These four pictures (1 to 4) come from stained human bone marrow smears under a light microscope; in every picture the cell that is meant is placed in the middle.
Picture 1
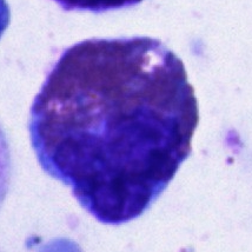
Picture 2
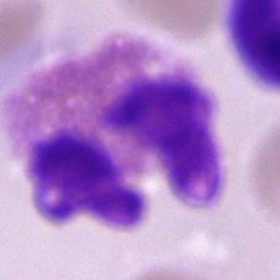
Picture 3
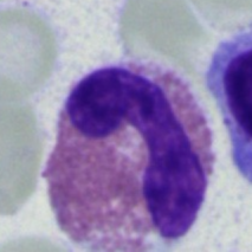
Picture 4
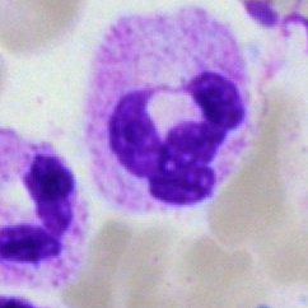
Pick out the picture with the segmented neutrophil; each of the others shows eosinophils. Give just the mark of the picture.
4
